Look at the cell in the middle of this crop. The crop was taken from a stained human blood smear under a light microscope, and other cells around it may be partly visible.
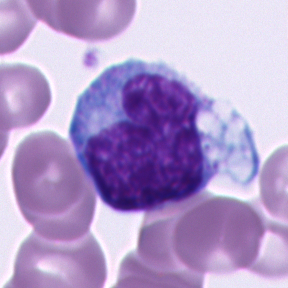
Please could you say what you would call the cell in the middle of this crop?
monocyte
